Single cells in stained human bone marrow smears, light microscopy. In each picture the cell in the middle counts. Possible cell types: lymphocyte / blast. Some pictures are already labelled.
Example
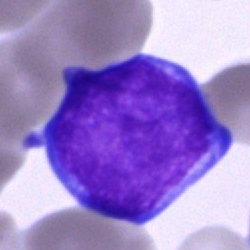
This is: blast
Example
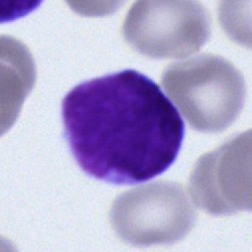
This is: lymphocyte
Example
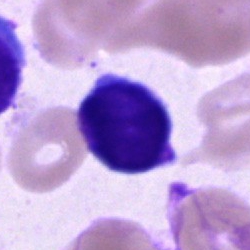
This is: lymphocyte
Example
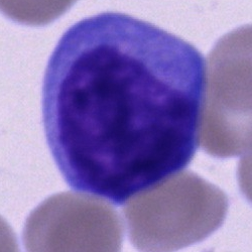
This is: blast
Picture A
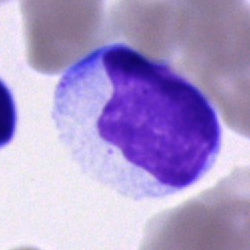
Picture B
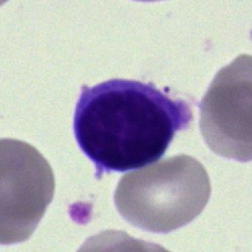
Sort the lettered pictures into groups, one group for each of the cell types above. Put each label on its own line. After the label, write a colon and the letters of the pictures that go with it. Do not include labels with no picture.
lymphocyte: B
blast: A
